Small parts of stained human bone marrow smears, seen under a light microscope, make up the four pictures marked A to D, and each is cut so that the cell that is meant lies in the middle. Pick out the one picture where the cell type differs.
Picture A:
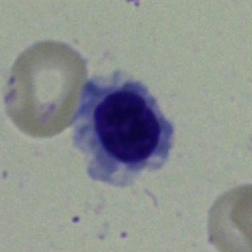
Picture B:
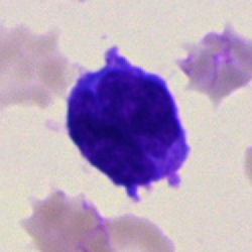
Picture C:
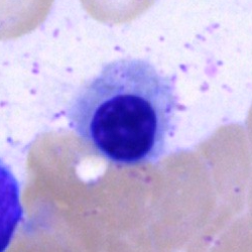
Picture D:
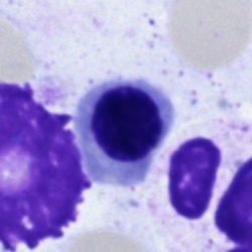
B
